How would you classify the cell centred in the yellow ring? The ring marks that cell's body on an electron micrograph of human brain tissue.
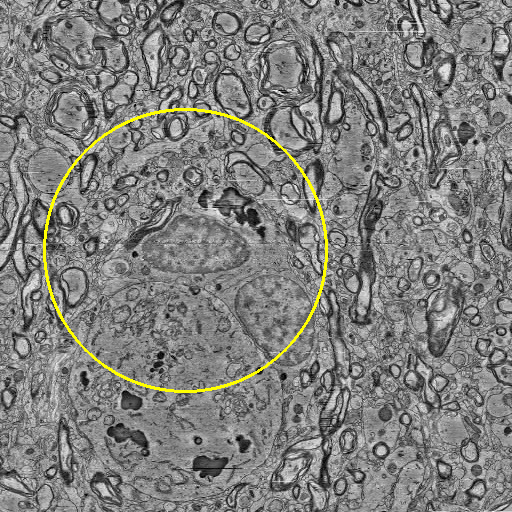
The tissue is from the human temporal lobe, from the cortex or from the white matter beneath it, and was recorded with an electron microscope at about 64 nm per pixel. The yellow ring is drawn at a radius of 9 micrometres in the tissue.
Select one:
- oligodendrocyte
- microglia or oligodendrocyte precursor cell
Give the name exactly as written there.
oligodendrocyte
